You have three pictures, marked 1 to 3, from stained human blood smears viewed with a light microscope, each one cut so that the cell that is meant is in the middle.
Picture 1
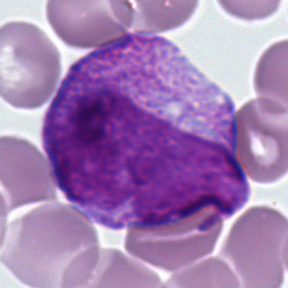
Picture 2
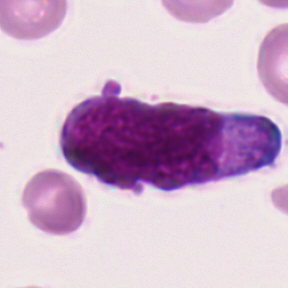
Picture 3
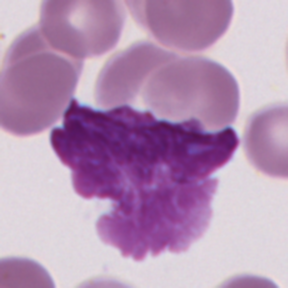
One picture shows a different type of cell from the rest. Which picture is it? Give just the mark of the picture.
3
